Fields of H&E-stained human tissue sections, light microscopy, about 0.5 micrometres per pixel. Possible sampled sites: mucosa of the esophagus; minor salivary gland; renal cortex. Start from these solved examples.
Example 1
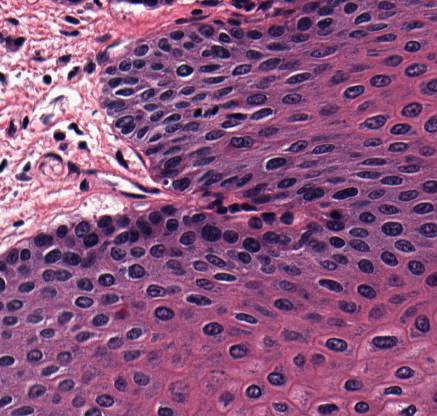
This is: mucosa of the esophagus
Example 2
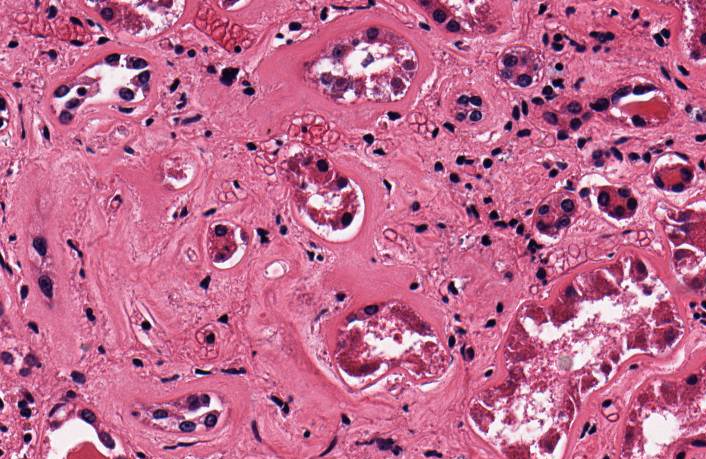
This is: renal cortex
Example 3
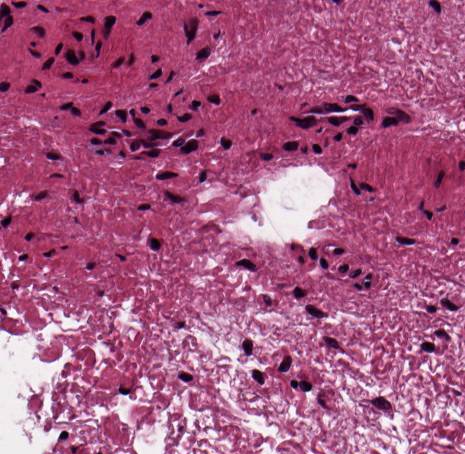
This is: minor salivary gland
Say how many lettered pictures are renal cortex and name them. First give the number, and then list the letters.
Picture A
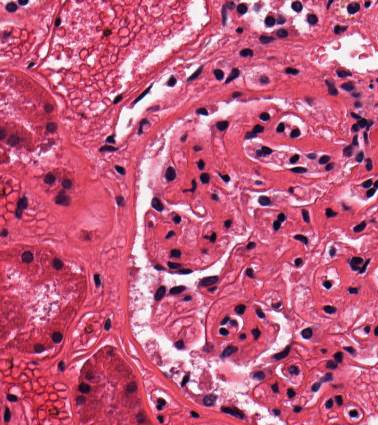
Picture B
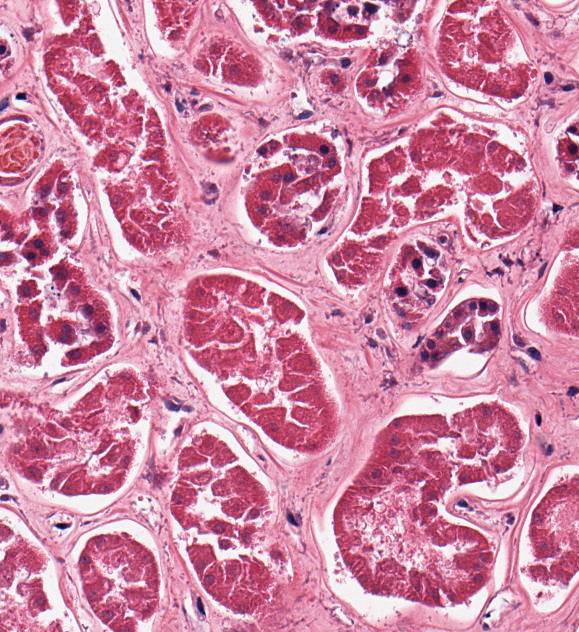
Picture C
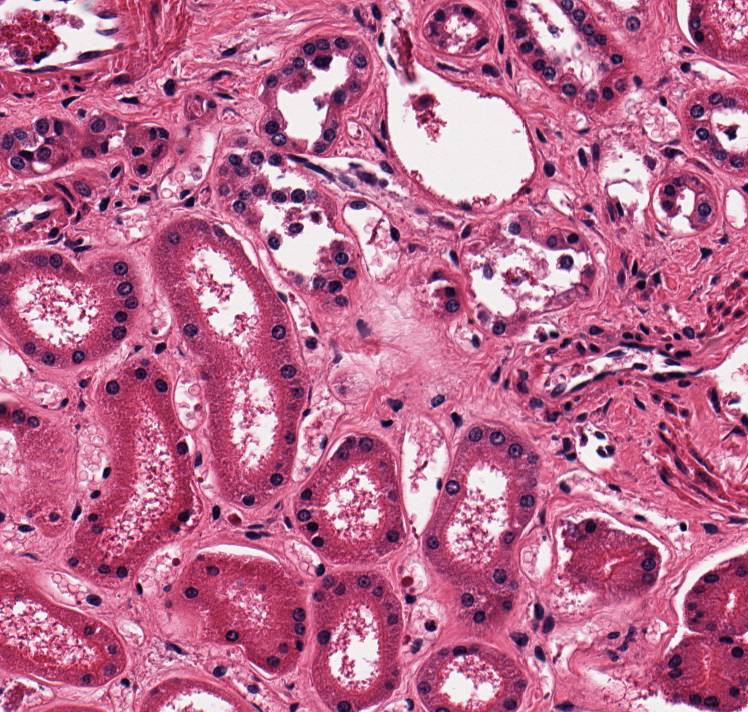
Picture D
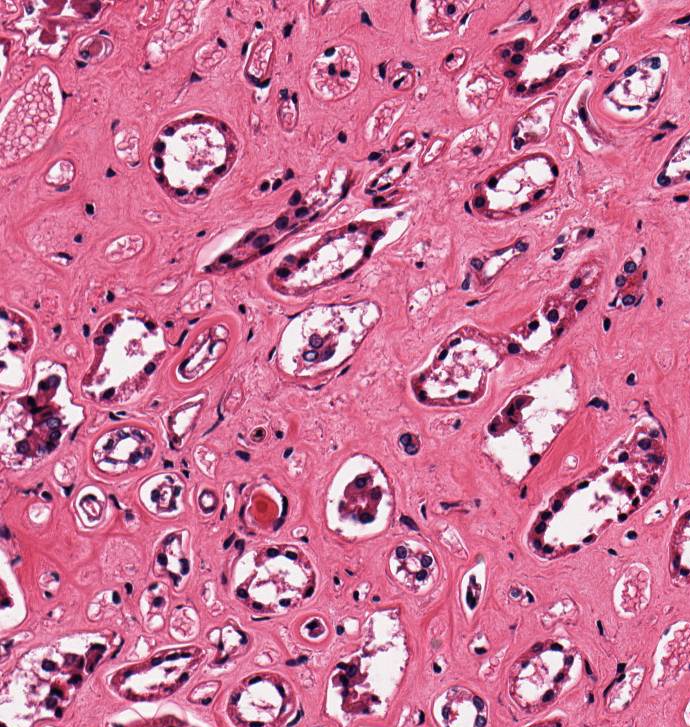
Count: 4 (A, B, C, D)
